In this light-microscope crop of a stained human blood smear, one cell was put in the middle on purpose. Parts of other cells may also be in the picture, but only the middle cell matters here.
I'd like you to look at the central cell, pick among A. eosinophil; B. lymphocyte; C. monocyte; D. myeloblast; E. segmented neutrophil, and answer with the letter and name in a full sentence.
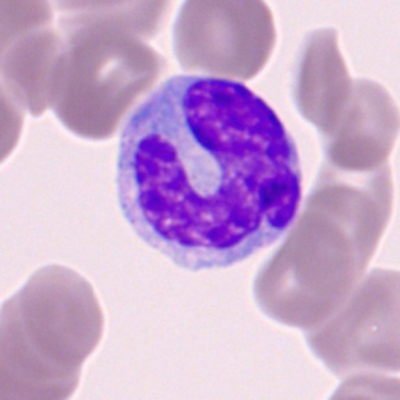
Option C is the keyed answer: the cell in the middle is a monocyte.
